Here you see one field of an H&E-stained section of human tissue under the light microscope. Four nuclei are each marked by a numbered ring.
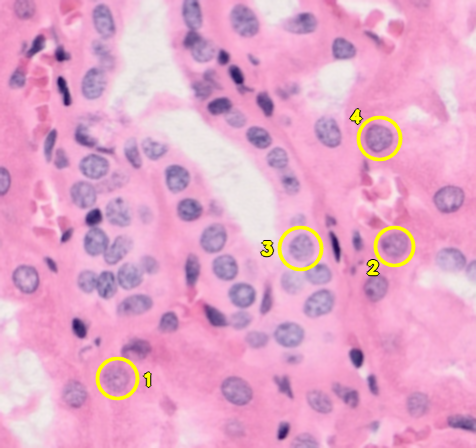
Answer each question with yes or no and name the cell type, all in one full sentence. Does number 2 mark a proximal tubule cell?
Yes, it is a proximal tubule cell that number 2 identifies.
